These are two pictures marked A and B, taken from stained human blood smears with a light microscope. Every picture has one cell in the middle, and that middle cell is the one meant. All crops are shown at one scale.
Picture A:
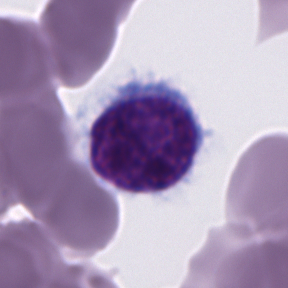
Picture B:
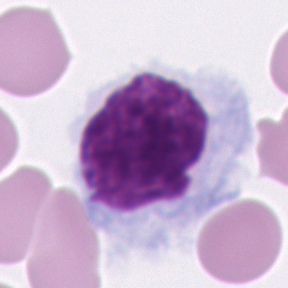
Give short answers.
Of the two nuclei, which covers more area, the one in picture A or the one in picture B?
B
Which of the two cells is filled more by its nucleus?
A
